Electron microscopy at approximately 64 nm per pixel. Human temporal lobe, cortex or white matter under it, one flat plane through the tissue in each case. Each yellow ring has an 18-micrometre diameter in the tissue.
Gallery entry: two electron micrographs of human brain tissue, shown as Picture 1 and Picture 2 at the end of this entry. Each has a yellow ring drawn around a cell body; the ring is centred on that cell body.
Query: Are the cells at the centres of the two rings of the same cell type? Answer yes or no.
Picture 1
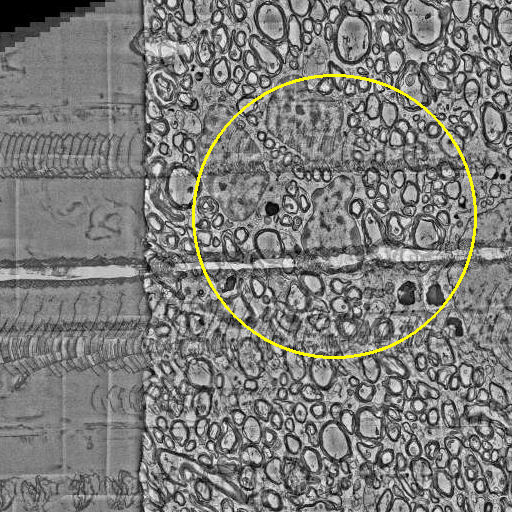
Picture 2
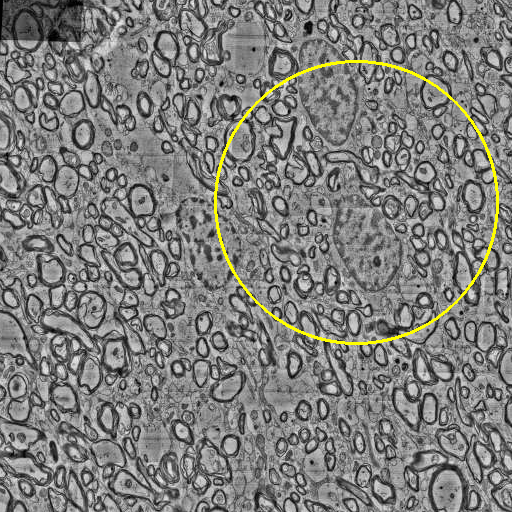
no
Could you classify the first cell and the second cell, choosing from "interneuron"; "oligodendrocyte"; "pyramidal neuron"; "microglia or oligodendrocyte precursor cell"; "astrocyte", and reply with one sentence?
The second cell is an oligodendrocyte, while the first is a microglial cell or oligodendrocyte precursor cell.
